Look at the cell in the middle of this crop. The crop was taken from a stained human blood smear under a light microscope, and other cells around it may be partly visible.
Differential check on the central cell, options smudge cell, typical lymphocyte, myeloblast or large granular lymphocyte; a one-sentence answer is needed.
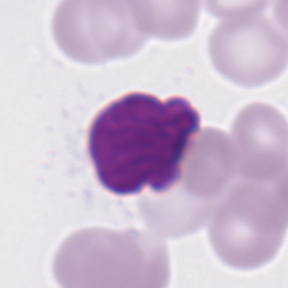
Within this crop, a smudge cell occupies the central position.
